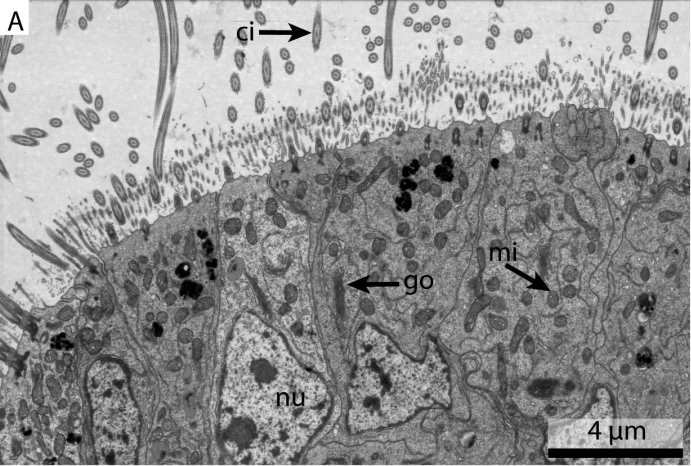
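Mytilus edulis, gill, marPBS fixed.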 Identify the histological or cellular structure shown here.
Ciliated frontal surface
